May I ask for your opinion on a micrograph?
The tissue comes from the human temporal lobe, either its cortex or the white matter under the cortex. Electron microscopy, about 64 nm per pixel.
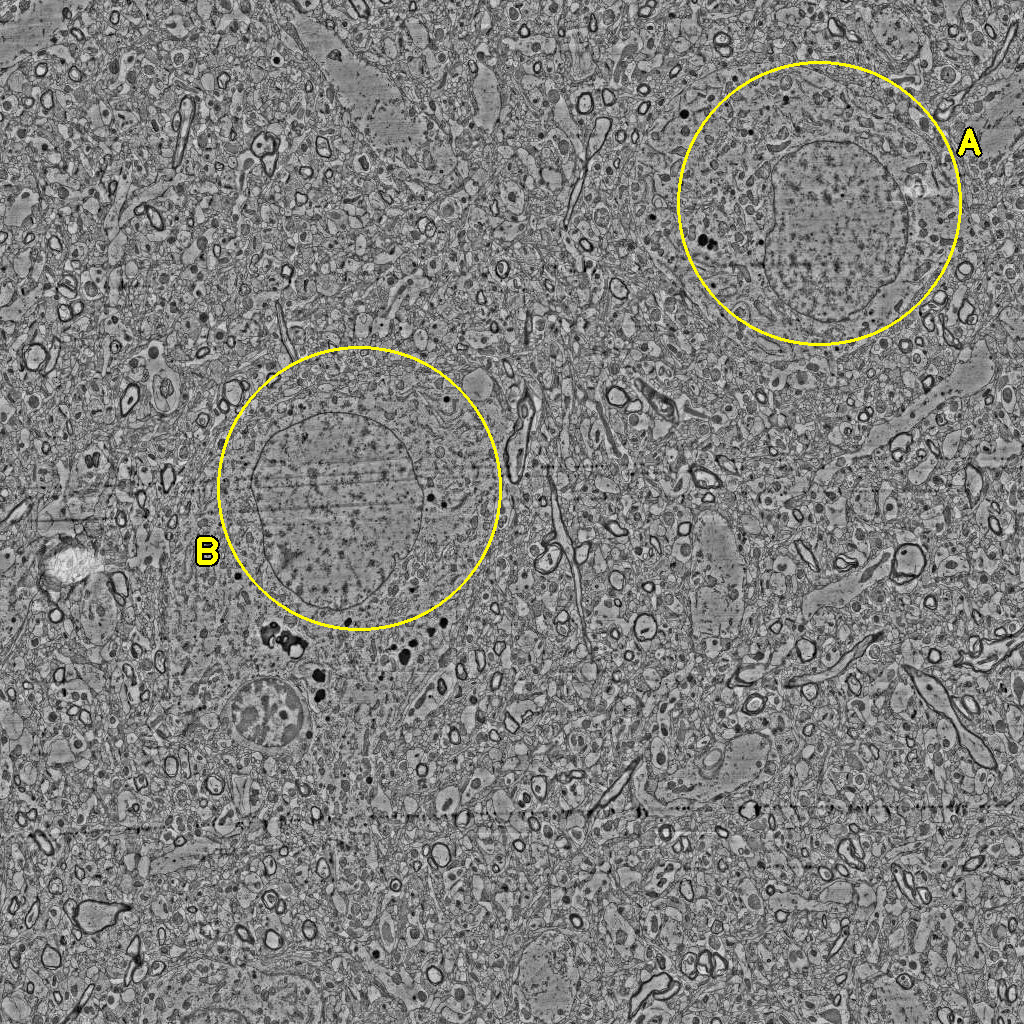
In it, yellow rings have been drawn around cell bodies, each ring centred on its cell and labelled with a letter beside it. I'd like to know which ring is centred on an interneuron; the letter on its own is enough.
A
